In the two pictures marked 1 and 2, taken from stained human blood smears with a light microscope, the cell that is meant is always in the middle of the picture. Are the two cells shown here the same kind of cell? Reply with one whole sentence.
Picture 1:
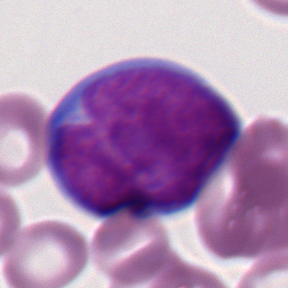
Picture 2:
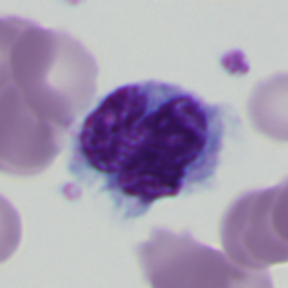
No. Picture 1 shows a myeloblast, but picture 2 shows a monocyte.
